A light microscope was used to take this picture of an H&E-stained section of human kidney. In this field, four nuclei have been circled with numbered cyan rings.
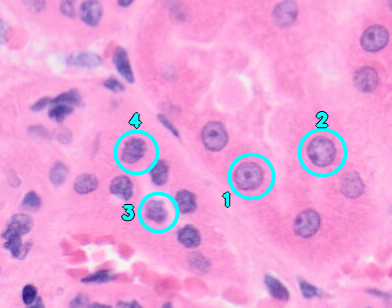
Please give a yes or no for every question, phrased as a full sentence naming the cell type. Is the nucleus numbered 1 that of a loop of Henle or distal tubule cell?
No, cell 1 isn't a loop of Henle or distal tubule cell; it's a proximal tubule cell.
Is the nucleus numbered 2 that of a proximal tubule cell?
Yes, the cell that goes by number 2 is a proximal tubule cell.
